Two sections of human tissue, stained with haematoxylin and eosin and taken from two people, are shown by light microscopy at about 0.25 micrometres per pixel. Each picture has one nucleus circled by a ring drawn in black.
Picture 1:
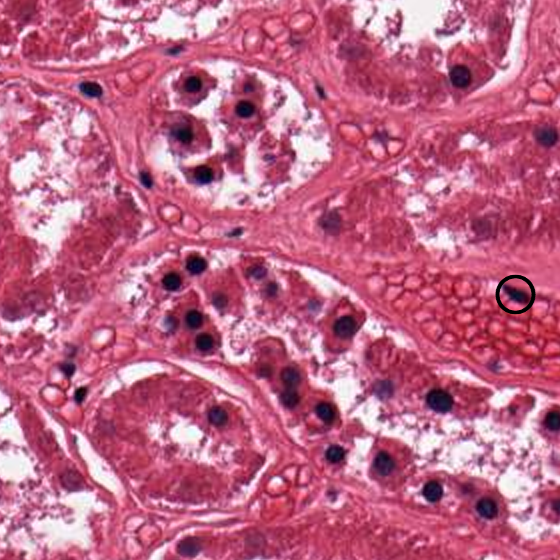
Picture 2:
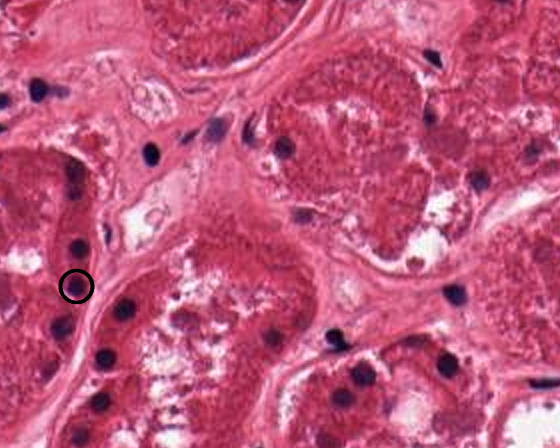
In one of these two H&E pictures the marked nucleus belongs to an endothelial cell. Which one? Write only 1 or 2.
1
